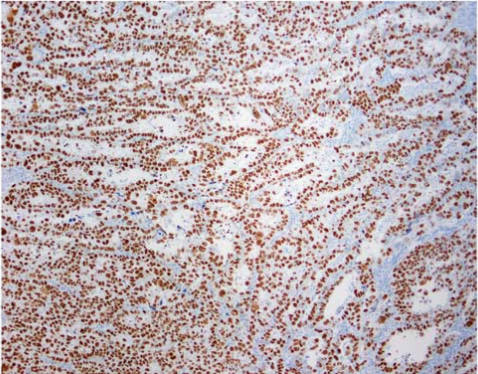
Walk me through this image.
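Nearly every tumour nucleus is strongly and diffusely stained brown, while the stromal cells remain blue. Small lumens and cleft-like spaces open between the tumour cell groups.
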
